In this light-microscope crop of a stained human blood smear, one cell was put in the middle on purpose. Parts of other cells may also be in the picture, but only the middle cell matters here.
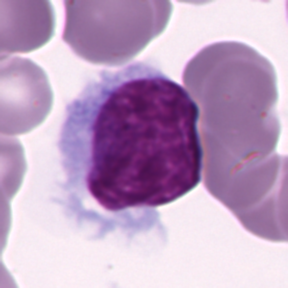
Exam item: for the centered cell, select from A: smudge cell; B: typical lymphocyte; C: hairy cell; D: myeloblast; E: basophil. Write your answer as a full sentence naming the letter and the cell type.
The cell at the heart of the crop is a hairy cell, so choose option C.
